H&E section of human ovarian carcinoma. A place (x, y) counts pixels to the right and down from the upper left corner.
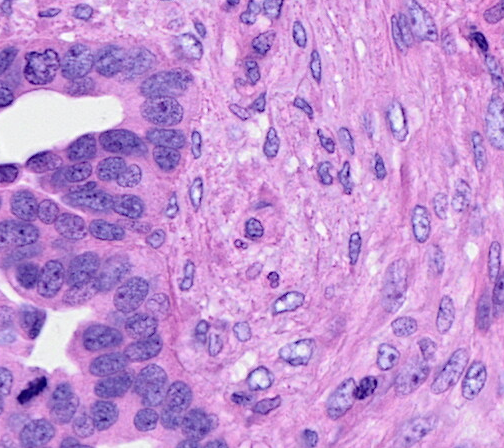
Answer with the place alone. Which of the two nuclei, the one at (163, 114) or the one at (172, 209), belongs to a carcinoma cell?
(163, 114)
